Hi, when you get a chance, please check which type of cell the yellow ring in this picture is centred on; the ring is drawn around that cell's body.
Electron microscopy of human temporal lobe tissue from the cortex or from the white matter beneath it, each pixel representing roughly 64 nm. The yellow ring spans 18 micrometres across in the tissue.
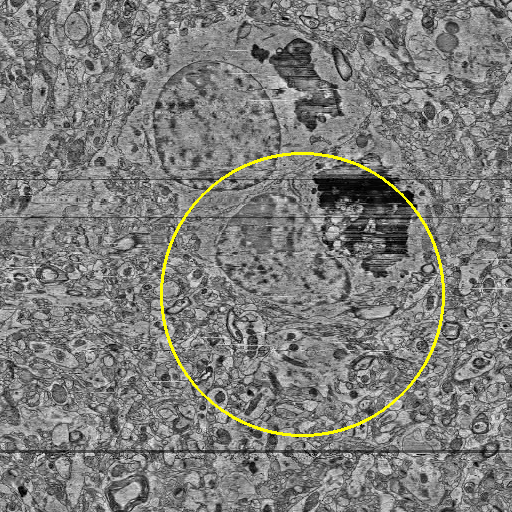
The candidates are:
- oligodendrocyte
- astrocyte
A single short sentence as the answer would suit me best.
The ring is drawn around the body of an astrocyte.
